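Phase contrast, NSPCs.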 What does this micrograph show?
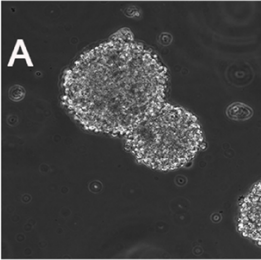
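Three rounded, compact clusters of cells float in the field, two of them touching each other and a third lying apart. Each cluster is made of many small, tightly packed cells whose outlines give the surface a grainy, cobbled texture, with a bright refractile rim around the edge. The centres look somewhat darker. A few isolated small round cells lie scattered around them, and nothing spreads or attaches flat onto the dish. Such free-floating spherical aggregates of proliferating cells are neurospheres growing in suspension.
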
